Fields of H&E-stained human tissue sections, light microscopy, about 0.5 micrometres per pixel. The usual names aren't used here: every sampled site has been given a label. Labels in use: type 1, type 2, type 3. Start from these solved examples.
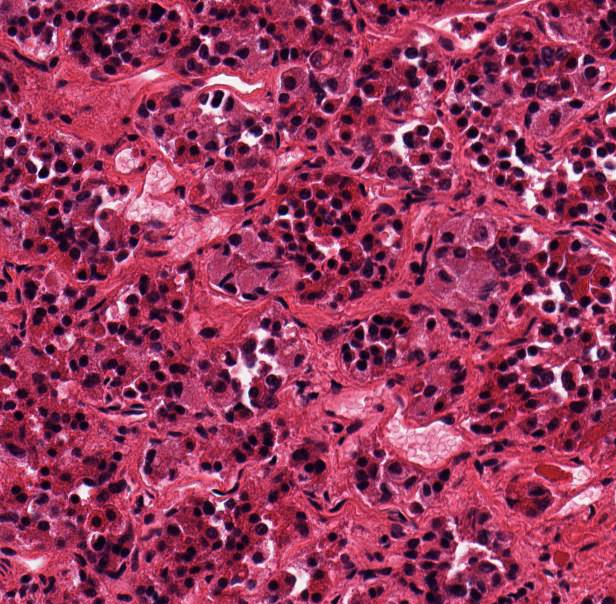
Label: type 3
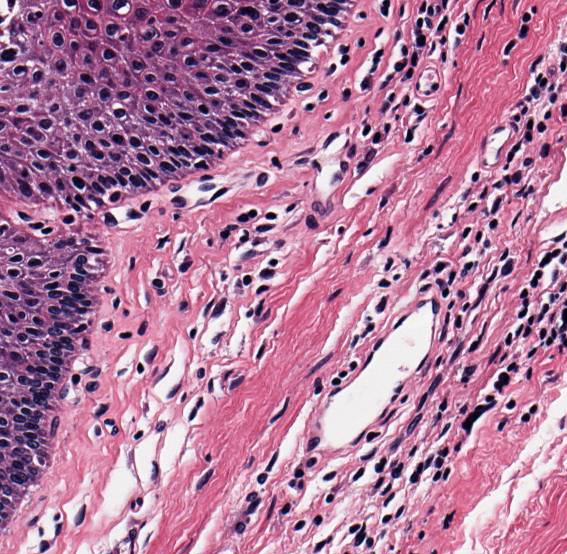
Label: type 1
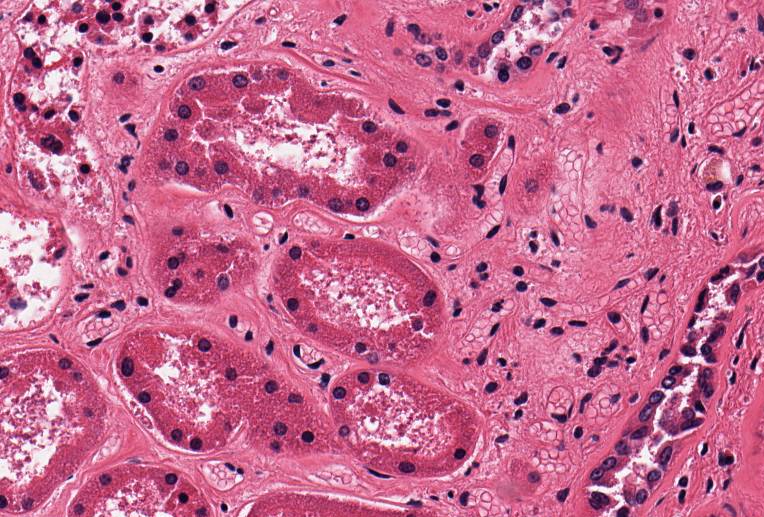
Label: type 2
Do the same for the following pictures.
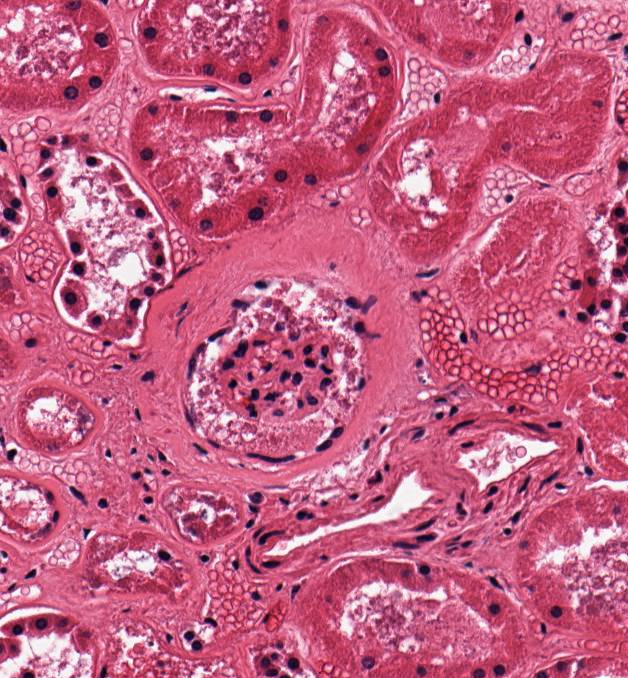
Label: type 2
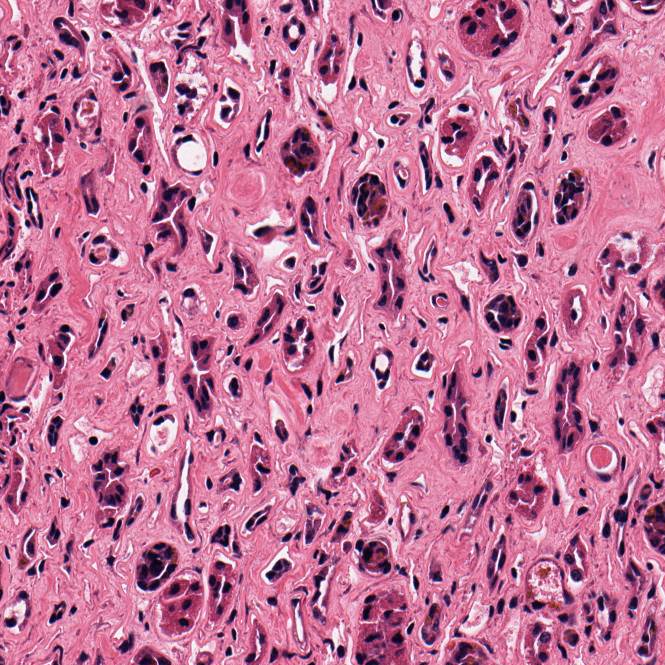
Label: type 2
